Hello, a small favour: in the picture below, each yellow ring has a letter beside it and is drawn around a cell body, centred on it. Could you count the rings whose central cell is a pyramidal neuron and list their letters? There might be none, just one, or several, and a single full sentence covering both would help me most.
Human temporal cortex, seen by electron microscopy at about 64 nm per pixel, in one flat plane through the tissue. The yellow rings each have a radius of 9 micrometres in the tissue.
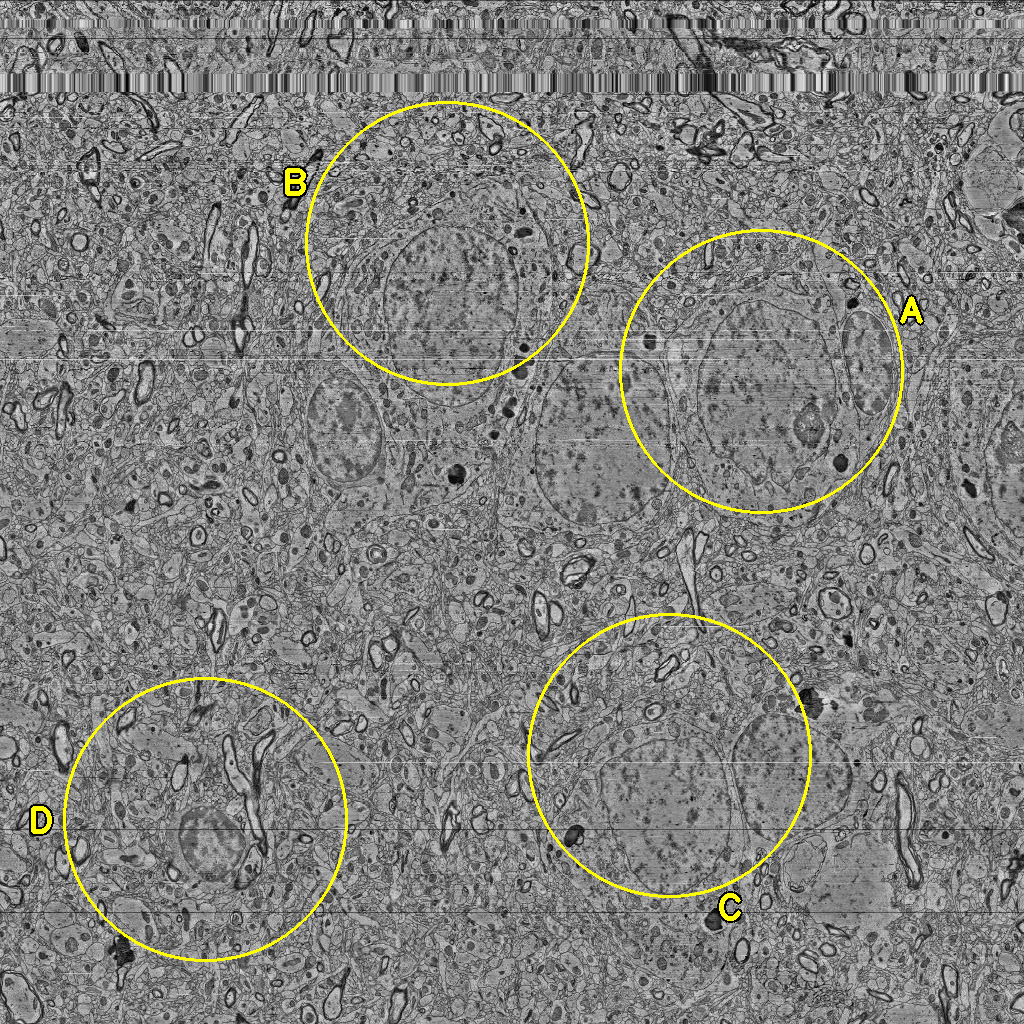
Rings lettered A and C, two altogether, have a pyramidal neuron at the centre of every one of them.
